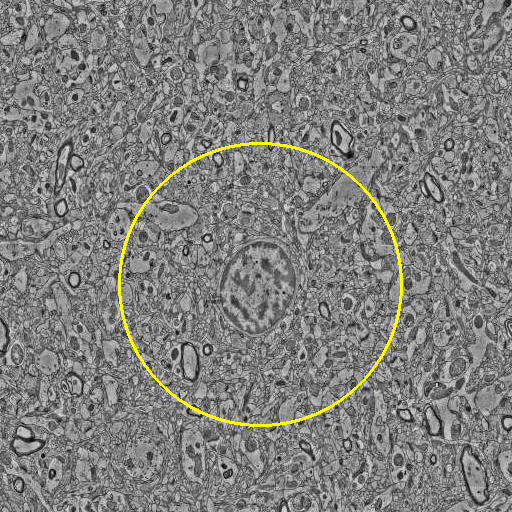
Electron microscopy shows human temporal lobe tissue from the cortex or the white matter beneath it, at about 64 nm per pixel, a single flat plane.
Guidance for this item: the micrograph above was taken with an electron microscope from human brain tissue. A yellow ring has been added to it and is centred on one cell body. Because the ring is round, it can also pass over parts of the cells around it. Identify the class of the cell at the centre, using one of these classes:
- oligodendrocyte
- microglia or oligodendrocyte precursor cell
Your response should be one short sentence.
The ring surrounds the body of an oligodendrocyte.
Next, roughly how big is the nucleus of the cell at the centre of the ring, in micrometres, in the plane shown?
The ringed cell's nucleus is about 6 micrometres long and 5 micrometres wide in this plane.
